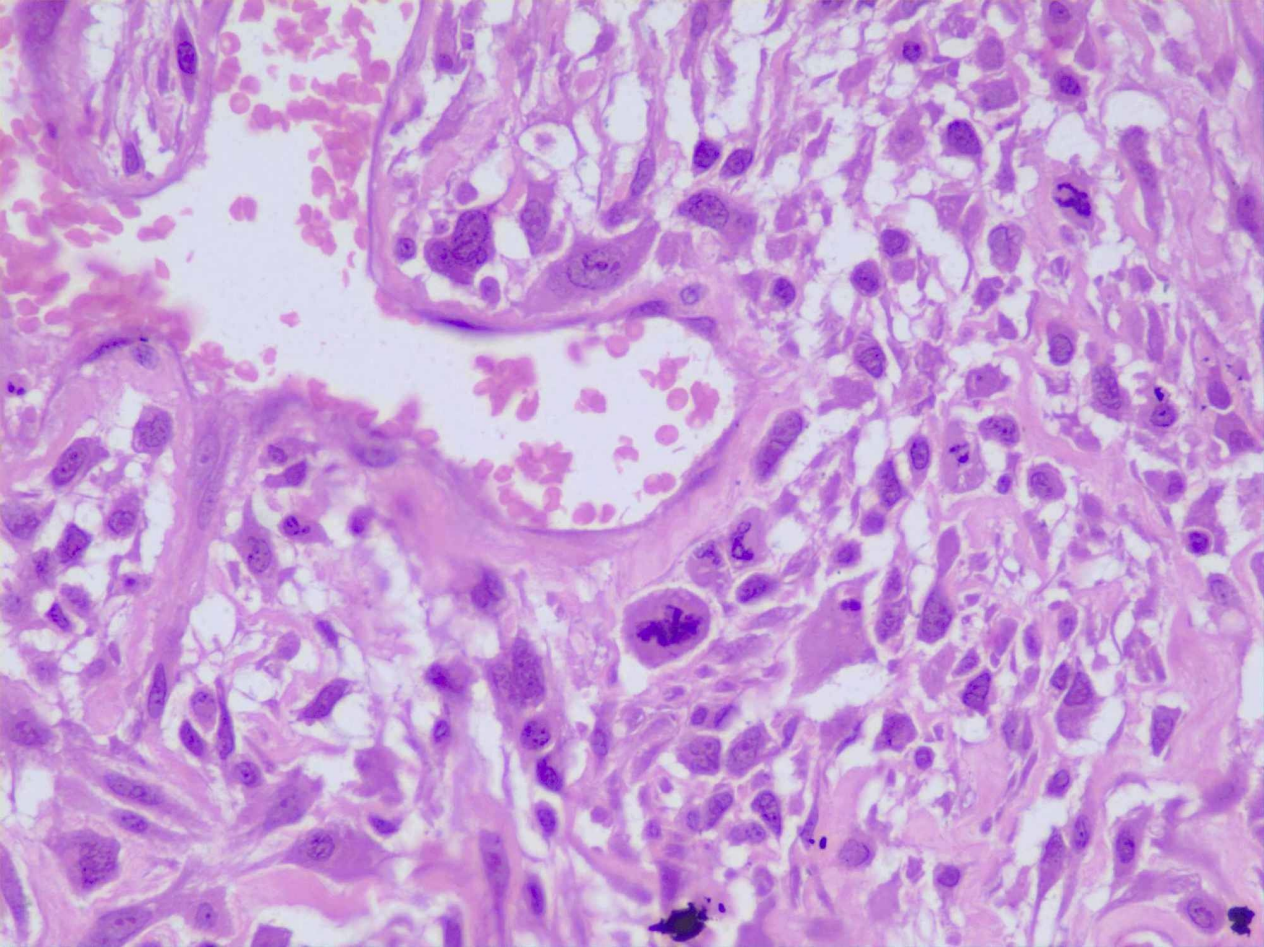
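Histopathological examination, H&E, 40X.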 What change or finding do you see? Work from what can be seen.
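A large cell near the center holds clumped, dark condensed chromosomes instead of a nucleus. A few other cells show small dark, irregular chromatin clumps. So: mitotic figures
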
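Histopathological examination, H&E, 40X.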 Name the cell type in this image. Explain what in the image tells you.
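Cells vary in size and shape, many elongated, others angular with projections. Nuclei differ in size and shape from cell to cell. Cells lie loosely in a pale, partly vacuolated background around a blood-filled vessel. On this evidence: moderately pleomorphic spindle to stellate-shaped tumor cells.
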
